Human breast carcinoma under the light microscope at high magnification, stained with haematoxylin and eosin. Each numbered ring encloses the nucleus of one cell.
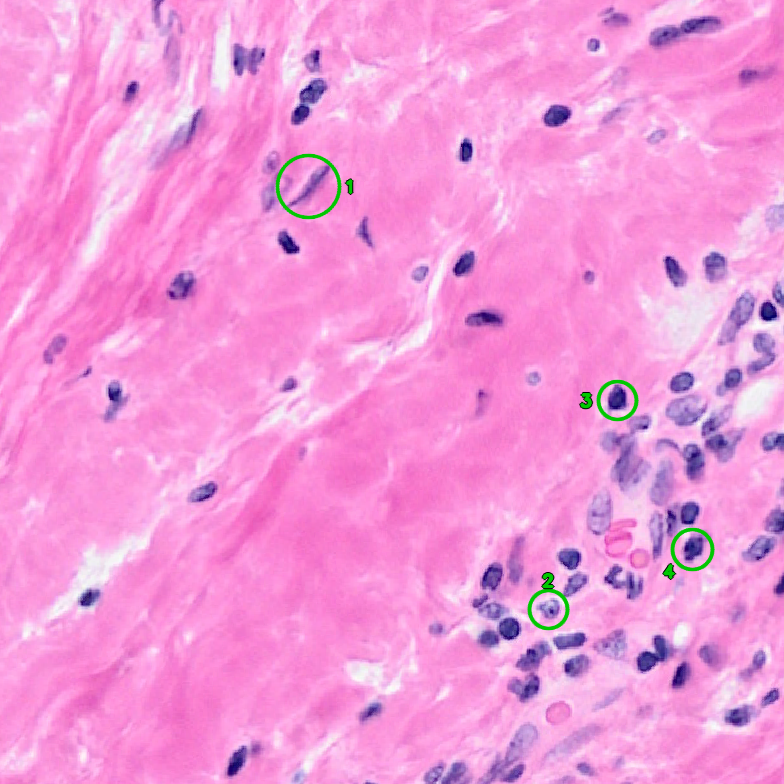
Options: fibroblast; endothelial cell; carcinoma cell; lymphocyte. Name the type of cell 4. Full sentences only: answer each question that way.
The cell identified by number 4 is a lymphocyte.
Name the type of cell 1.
Nucleus 1 in this section belongs to a fibroblast.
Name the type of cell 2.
The one labeled 2 is a lymphocyte, to put it simply.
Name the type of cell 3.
Cell 3, as marked in the section, is a lymphocyte.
